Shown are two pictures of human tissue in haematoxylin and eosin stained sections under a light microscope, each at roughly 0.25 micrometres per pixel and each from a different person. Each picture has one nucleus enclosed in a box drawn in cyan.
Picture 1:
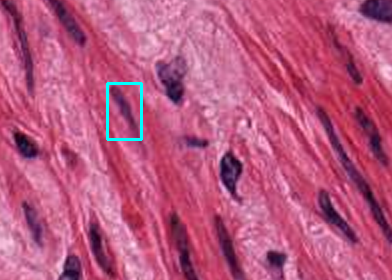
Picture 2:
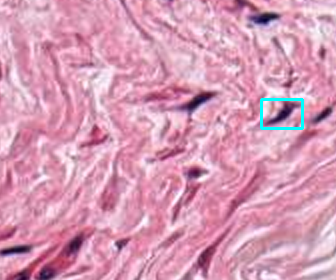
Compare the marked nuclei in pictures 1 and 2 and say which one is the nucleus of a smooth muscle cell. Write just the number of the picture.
1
